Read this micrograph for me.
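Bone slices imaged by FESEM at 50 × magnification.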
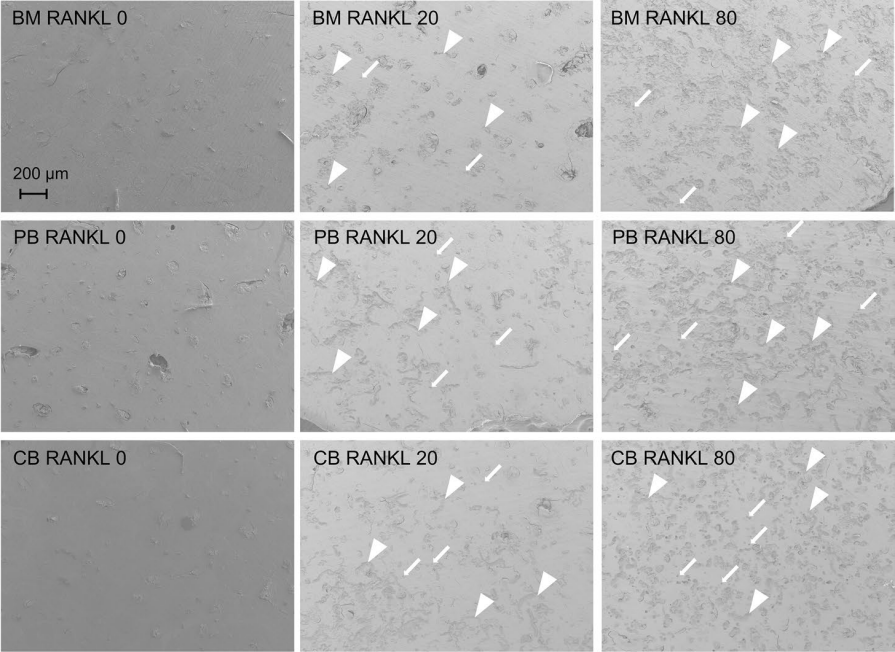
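Where pits are present, they appear in two forms. One form is small, compact, round to oval depressions. The other is elongated, meandering trenches that sometimes join one another. Some surfaces show only a smooth plane with scattered debris and no pits. Where pits are most numerous, they cover much of the surface in a dense, lace-like pattern.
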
